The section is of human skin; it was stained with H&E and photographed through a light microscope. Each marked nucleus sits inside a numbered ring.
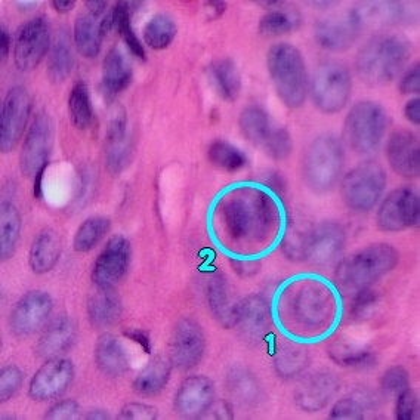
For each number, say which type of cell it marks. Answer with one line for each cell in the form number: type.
1: suprabasal keratinocyte
2: basal keratinocyte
